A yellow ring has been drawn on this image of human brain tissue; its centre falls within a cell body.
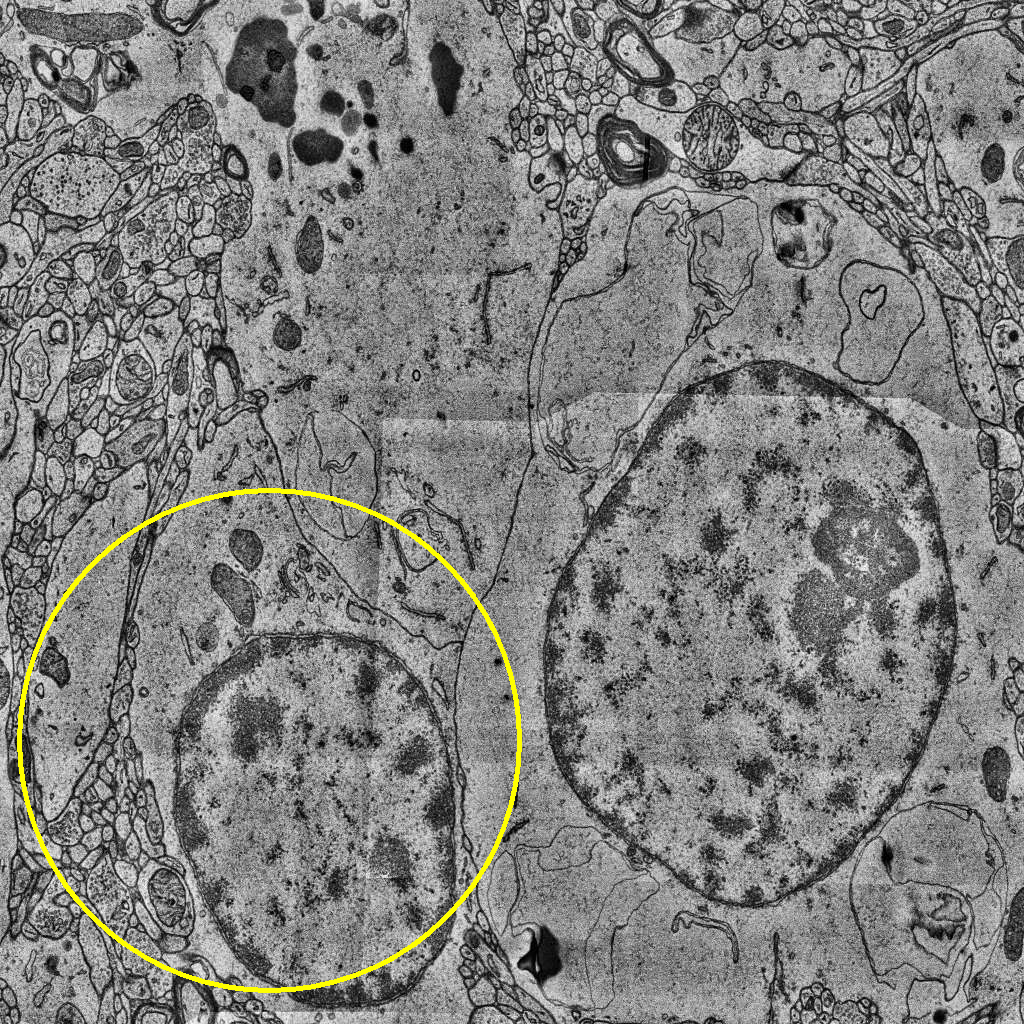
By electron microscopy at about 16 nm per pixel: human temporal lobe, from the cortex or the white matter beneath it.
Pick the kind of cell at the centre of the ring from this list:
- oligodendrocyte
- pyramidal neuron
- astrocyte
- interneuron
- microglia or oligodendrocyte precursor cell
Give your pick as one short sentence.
The centre of the ring holds an astrocyte.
